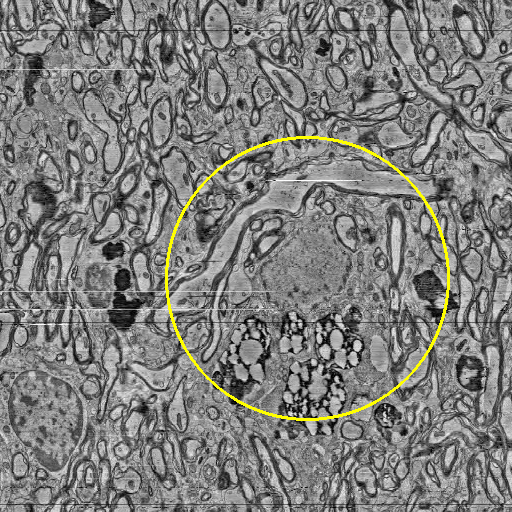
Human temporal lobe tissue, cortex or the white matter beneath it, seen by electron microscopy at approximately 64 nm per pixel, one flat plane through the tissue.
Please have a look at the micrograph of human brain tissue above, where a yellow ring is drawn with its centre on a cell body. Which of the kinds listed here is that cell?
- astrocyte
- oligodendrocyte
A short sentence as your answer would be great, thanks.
At the centre of the ring sits an astrocyte.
